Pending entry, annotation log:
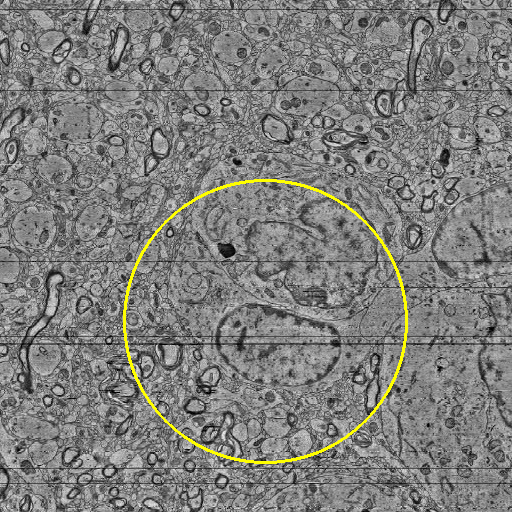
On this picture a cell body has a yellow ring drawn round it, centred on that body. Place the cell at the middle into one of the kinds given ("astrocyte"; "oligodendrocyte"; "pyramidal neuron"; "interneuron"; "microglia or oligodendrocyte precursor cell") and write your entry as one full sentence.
The cell body at the middle of the yellow ring belongs to a microglial cell or oligodendrocyte precursor cell.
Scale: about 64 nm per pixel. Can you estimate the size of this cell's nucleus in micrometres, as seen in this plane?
The nucleus measures about 8 by 5 micrometres, so it is clearly longer than it is wide in this plane.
